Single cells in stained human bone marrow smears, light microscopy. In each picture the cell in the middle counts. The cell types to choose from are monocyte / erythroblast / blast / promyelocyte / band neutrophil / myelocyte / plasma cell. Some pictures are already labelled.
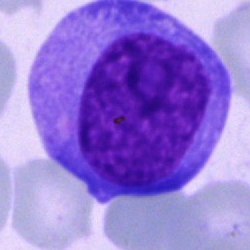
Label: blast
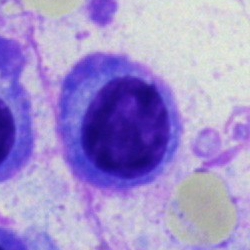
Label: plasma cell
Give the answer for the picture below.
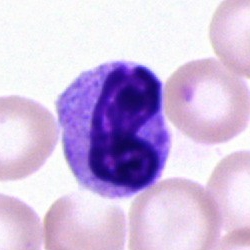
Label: band neutrophil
